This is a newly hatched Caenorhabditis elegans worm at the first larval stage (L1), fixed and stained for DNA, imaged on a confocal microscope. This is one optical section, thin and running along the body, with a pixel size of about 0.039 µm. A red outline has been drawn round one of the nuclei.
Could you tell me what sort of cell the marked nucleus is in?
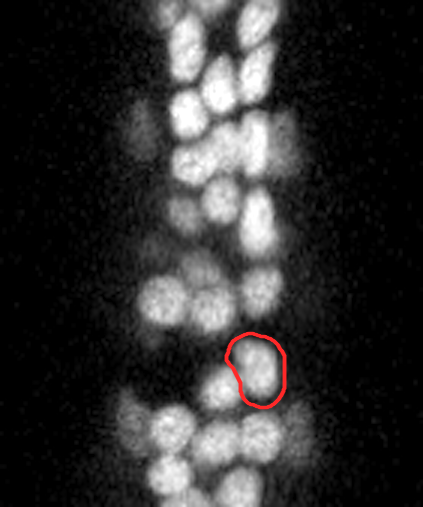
seam cell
